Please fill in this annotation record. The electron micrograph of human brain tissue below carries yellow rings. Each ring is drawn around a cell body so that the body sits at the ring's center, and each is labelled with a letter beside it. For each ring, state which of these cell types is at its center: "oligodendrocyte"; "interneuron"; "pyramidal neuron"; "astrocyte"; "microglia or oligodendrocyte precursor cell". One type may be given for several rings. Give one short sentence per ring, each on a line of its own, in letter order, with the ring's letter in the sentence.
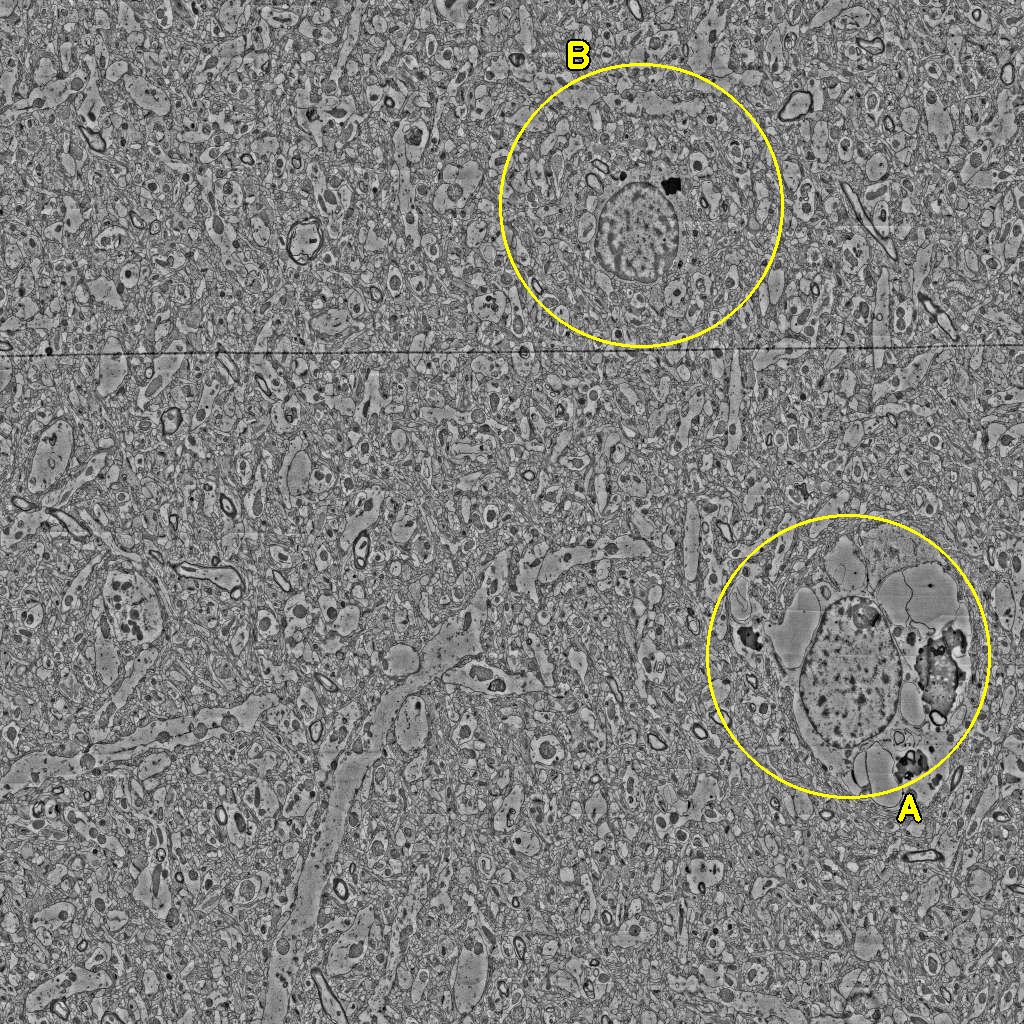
Ring A is drawn around an astrocyte.
Ring B is drawn around an oligodendrocyte.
